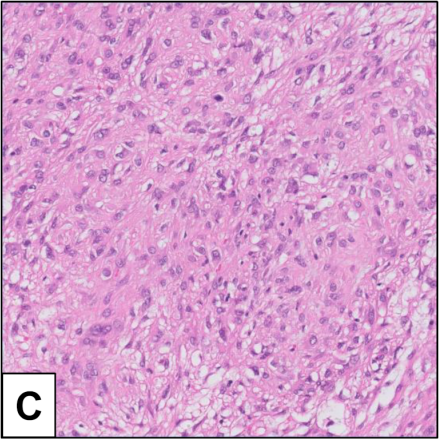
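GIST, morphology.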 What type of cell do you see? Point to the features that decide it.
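Rounded to polygonal cells with round nuclei. Cells have ample pale pink cytoplasm. Cells arranged in sheets rather than fascicles. That points to this answer: epithelioid-type.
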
